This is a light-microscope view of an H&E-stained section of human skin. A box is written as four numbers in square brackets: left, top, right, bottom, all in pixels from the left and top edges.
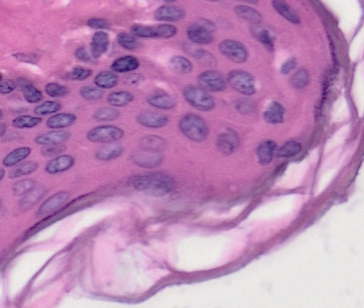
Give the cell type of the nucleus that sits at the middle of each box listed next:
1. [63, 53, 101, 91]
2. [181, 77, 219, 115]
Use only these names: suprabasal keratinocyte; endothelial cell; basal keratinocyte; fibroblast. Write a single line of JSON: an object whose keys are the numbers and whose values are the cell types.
{"1": "basal keratinocyte", "2": "suprabasal keratinocyte"}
